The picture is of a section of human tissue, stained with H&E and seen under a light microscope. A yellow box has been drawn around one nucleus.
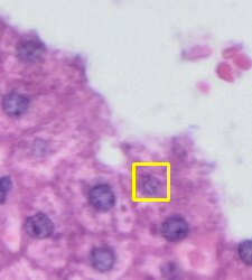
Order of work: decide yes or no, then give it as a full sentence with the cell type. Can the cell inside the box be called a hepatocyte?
Yes, the cell inside the box qualifies as a hepatocyte in this section.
